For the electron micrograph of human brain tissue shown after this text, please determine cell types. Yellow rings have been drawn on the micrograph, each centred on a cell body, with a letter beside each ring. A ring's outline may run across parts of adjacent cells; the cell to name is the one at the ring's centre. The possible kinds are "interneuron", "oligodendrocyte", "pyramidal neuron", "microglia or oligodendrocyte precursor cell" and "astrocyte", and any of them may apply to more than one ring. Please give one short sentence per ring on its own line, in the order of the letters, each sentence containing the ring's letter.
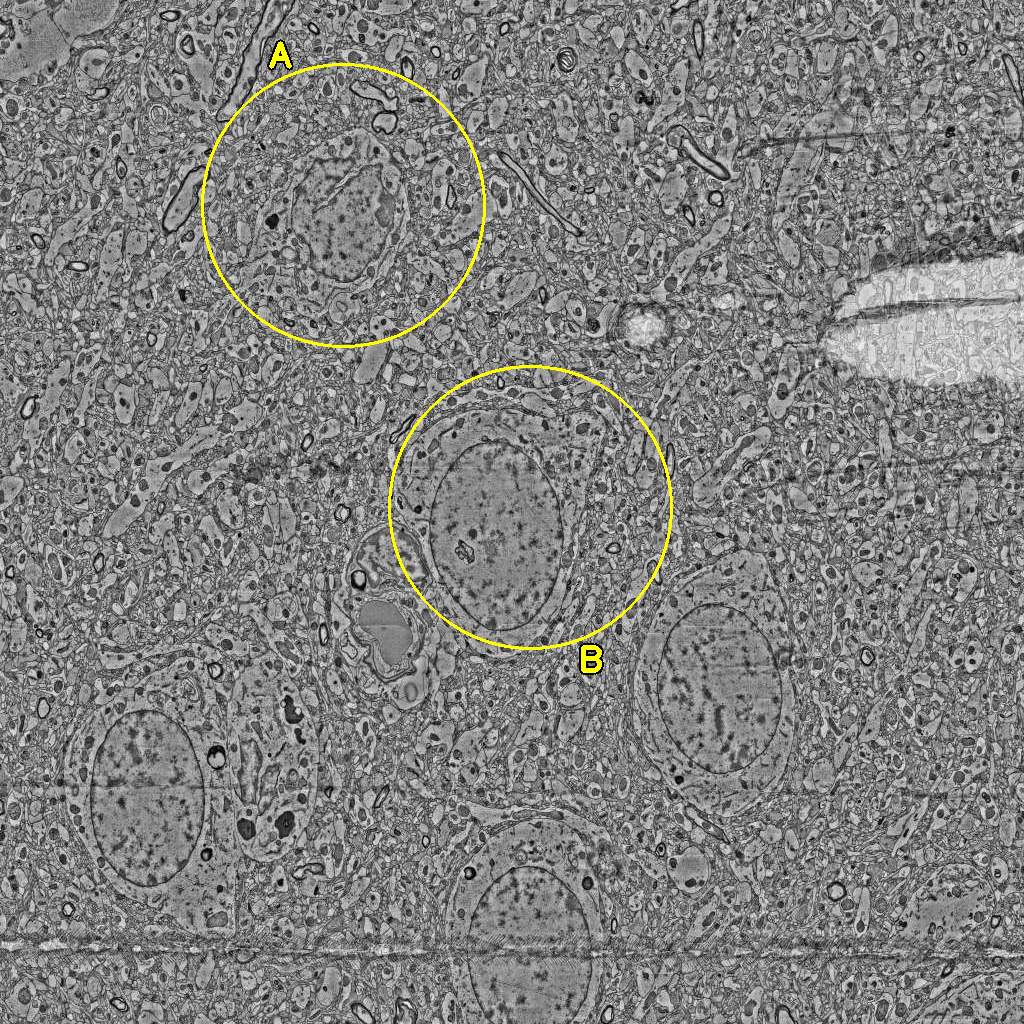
Ring A is set around an interneuron.
Ring B is set around a pyramidal neuron.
